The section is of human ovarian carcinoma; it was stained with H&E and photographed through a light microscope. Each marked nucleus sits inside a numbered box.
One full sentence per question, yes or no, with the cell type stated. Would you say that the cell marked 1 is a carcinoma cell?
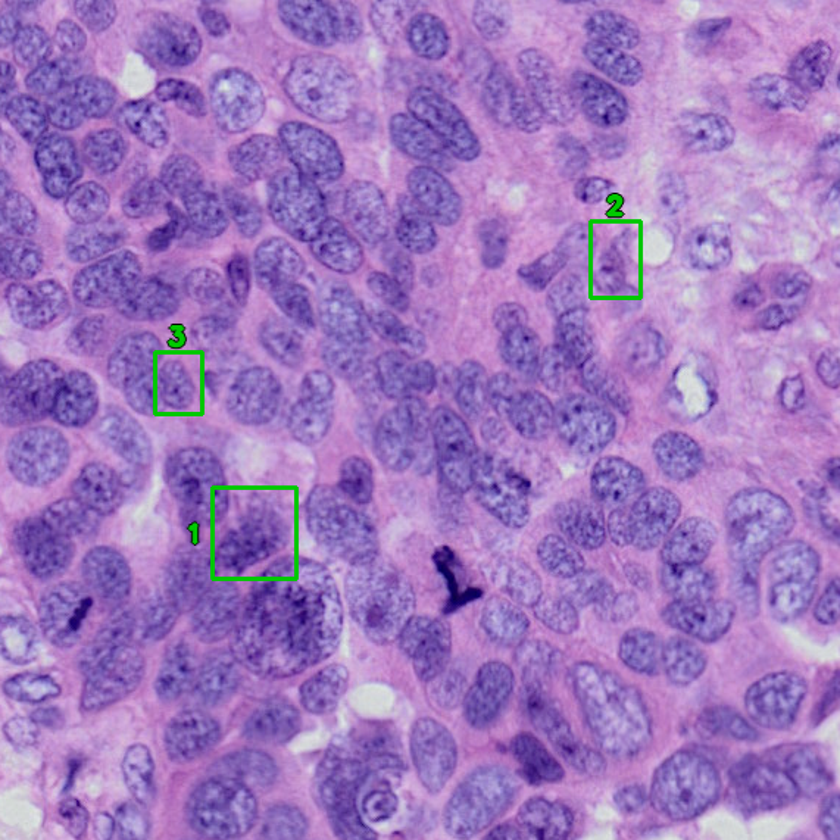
Yes, cell number 1 in this section is a carcinoma cell.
